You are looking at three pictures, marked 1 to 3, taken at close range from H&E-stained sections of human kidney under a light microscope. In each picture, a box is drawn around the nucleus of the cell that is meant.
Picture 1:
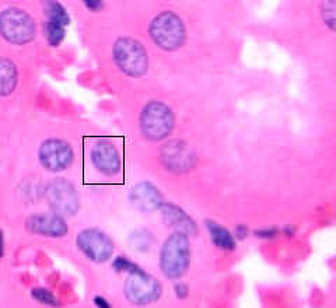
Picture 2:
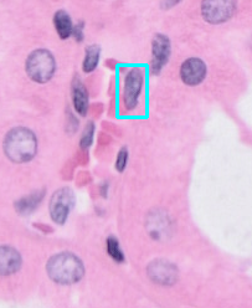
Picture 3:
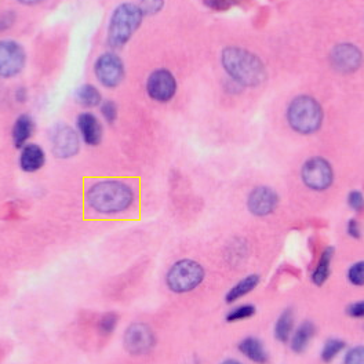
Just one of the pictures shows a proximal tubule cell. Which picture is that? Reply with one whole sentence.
The proximal tubule cell is the one in picture 3.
